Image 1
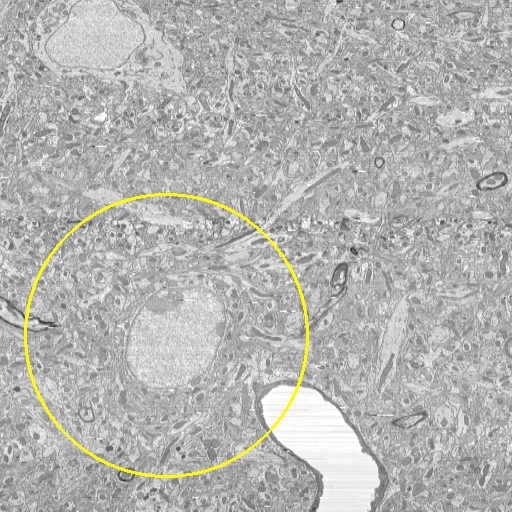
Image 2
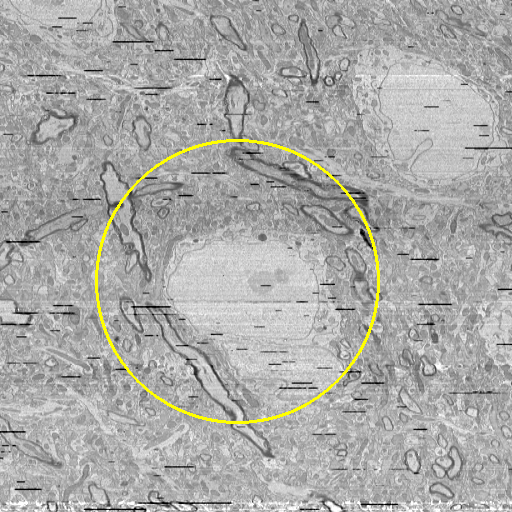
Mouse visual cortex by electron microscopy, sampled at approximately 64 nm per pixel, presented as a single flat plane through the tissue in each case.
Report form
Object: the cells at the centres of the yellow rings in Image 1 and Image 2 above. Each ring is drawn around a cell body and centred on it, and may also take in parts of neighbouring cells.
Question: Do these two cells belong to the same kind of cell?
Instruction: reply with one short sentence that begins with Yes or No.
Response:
No, they belong to two kinds of cell.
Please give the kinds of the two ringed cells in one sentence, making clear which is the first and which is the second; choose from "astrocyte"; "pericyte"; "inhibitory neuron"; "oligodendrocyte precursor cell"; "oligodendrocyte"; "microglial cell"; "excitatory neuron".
In the second picture the ringed cell is an excitatory neuron; in the first it is an astrocyte.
